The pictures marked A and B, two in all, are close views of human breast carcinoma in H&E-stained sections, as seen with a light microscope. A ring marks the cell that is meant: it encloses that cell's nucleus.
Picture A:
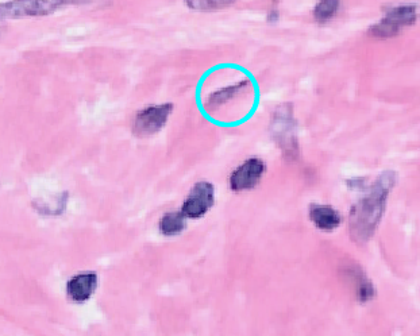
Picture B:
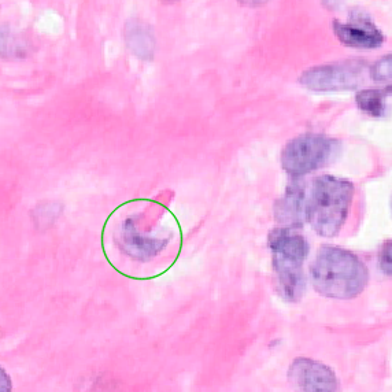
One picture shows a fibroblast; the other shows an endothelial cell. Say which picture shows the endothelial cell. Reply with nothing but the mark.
B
